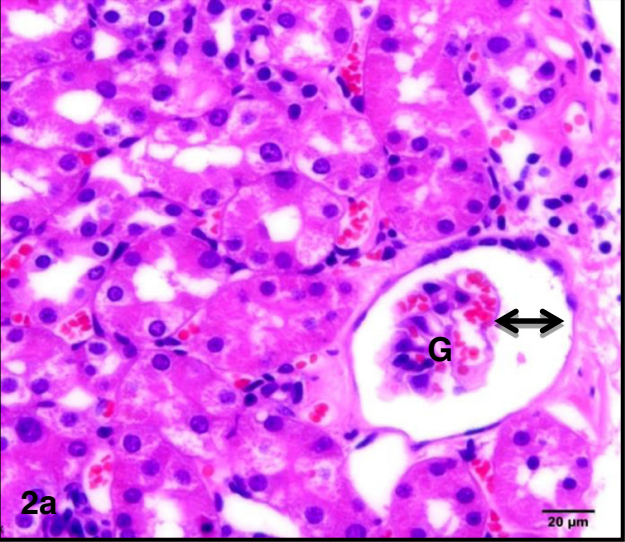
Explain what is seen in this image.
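Renal cortex with a glomerulus surrounded by convoluted tubules lined by cuboidal epithelial cells with round dark nuclei and pink cytoplasm. The glomerular capillary tuft, containing red blood cells, is small and compact within its capsule. A wide clear space separates the tuft from the thin flattened capsule wall. Several tubule lumens appear clear and some red blood cells lie between tubules.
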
